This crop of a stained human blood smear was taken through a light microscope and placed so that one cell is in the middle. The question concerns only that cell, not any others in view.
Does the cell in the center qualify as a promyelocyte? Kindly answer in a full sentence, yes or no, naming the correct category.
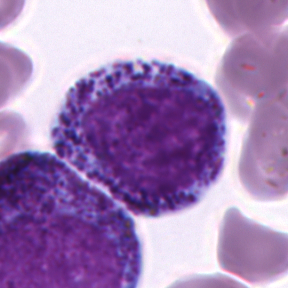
Yes, a promyelocyte is what the central cell is.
